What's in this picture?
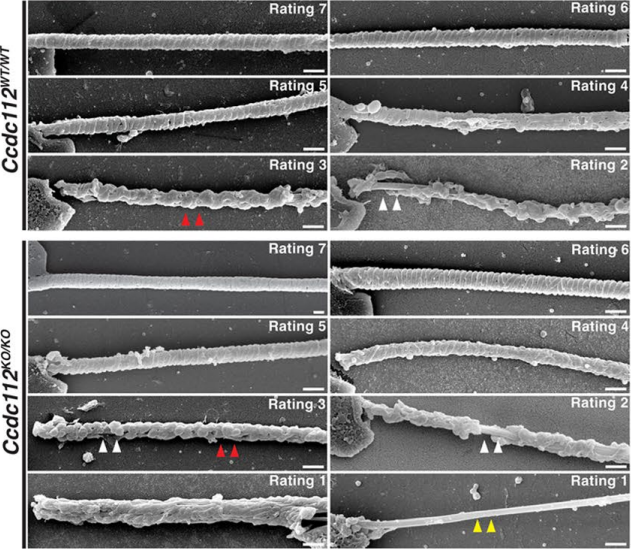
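These are sperm midpieces seen by scanning electron microscopy, each a cylindrical tail segment wrapped in a sheath of mitochondria. In the best-ordered examples the mitochondria form tight, regular transverse bands along a straight, even cylinder. In more disordered examples the sheath is lumpy, with rounded, irregularly sized mitochondria out of alignment, and in places the covering is missing so that bare longitudinal outer dense fibers show through. In the most abnormal midpiece a stretch of the tail is a thin smooth strand with no mitochondria at all.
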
